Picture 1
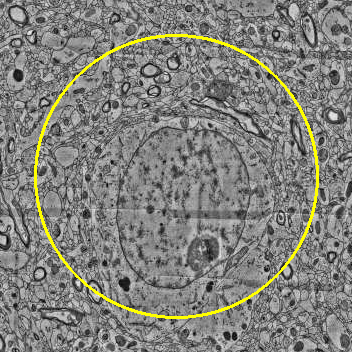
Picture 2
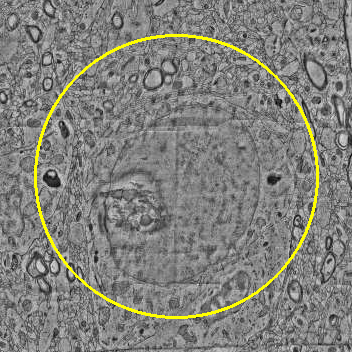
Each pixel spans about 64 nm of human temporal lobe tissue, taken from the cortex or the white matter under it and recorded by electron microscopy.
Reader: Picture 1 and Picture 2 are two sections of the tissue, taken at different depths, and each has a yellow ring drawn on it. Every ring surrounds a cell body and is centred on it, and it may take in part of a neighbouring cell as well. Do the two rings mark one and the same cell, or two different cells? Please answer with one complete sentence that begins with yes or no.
Yes, one cell accounts for both of the yellow rings.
